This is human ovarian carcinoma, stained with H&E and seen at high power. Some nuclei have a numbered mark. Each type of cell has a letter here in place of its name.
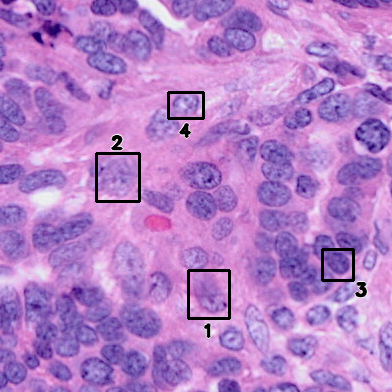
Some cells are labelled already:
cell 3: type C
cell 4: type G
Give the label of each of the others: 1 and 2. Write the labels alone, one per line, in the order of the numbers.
type G
type G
